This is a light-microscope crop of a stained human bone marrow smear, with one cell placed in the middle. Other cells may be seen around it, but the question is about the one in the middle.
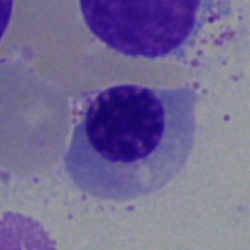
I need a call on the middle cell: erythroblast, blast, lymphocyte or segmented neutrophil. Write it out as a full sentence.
Centred in the crop is an erythroblast.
